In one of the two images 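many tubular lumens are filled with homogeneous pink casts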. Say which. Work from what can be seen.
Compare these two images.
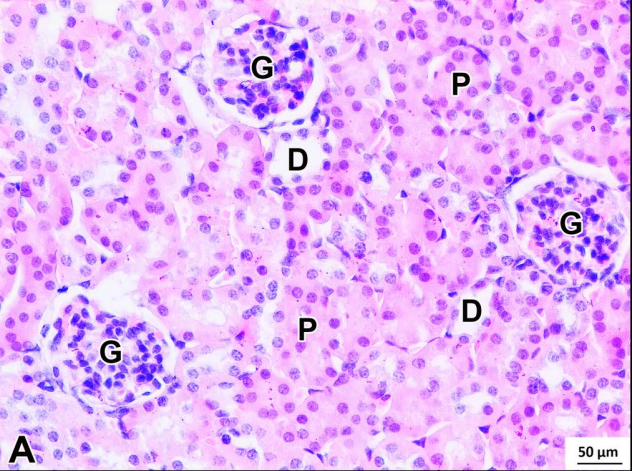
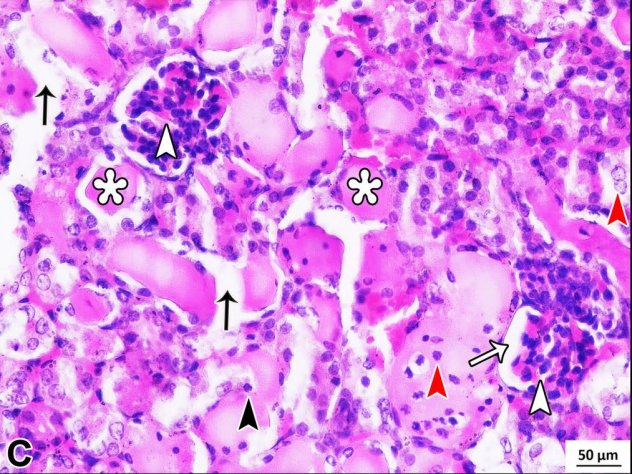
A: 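Second image: numerous tubules are plugged by smooth, glassy pink material. First image: tubules have narrow lumens without pink plugs. So: the second image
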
